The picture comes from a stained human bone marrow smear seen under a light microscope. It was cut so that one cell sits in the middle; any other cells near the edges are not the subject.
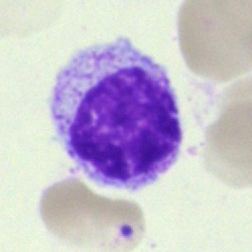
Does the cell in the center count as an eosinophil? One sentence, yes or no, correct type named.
No, the middle one is a myelocyte rather than an eosinophil.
